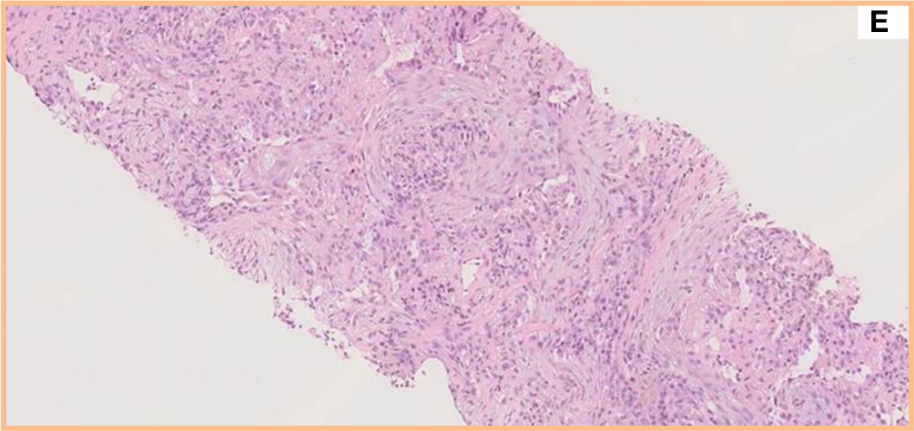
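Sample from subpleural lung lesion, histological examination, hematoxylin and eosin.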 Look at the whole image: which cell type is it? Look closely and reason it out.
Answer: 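Inflammatory cells. Numerous small cells with round, dark purple nuclei are scattered through the tissue. These small round cells lie between the spindle-cell areas.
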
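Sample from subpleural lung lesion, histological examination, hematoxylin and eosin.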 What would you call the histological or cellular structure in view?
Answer: Fibroblastic plugs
